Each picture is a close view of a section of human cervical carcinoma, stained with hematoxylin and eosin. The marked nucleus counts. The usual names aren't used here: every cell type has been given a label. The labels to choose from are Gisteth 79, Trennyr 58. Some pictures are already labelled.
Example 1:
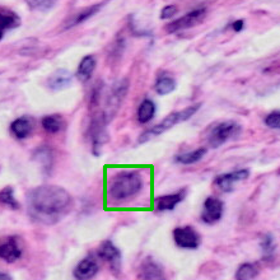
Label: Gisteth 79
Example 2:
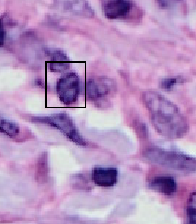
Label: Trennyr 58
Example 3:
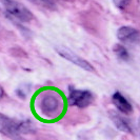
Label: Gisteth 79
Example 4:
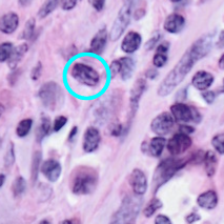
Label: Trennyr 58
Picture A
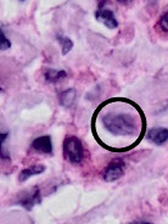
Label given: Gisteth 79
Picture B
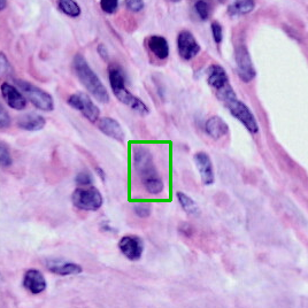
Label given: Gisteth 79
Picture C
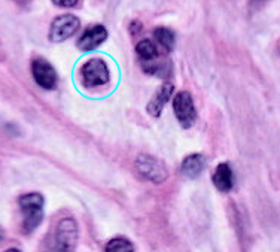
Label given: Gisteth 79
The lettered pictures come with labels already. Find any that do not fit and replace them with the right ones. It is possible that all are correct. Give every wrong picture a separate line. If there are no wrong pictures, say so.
Wrong: C (Gisteth 79); correct: Trennyr 58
